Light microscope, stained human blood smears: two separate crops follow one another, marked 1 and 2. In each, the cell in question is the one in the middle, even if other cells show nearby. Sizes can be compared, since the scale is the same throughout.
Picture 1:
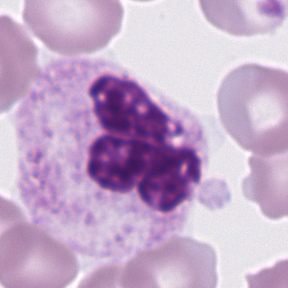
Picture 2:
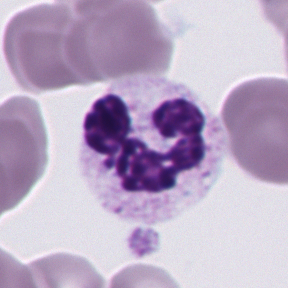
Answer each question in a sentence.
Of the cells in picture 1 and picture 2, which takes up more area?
It is the cell in picture 1, about 2 times as large in area as the cell in picture 2.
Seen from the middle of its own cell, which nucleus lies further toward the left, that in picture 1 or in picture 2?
In picture 2 the nucleus is shifted more toward the left.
